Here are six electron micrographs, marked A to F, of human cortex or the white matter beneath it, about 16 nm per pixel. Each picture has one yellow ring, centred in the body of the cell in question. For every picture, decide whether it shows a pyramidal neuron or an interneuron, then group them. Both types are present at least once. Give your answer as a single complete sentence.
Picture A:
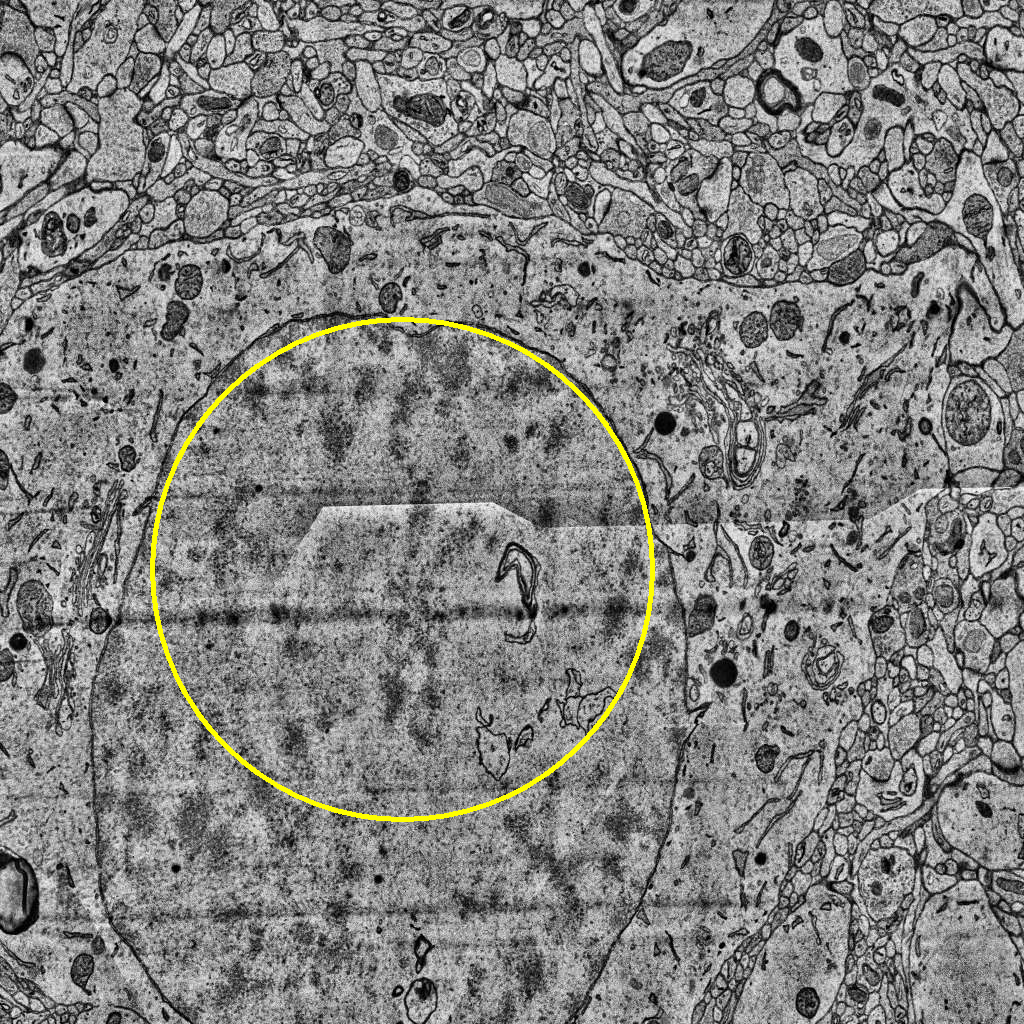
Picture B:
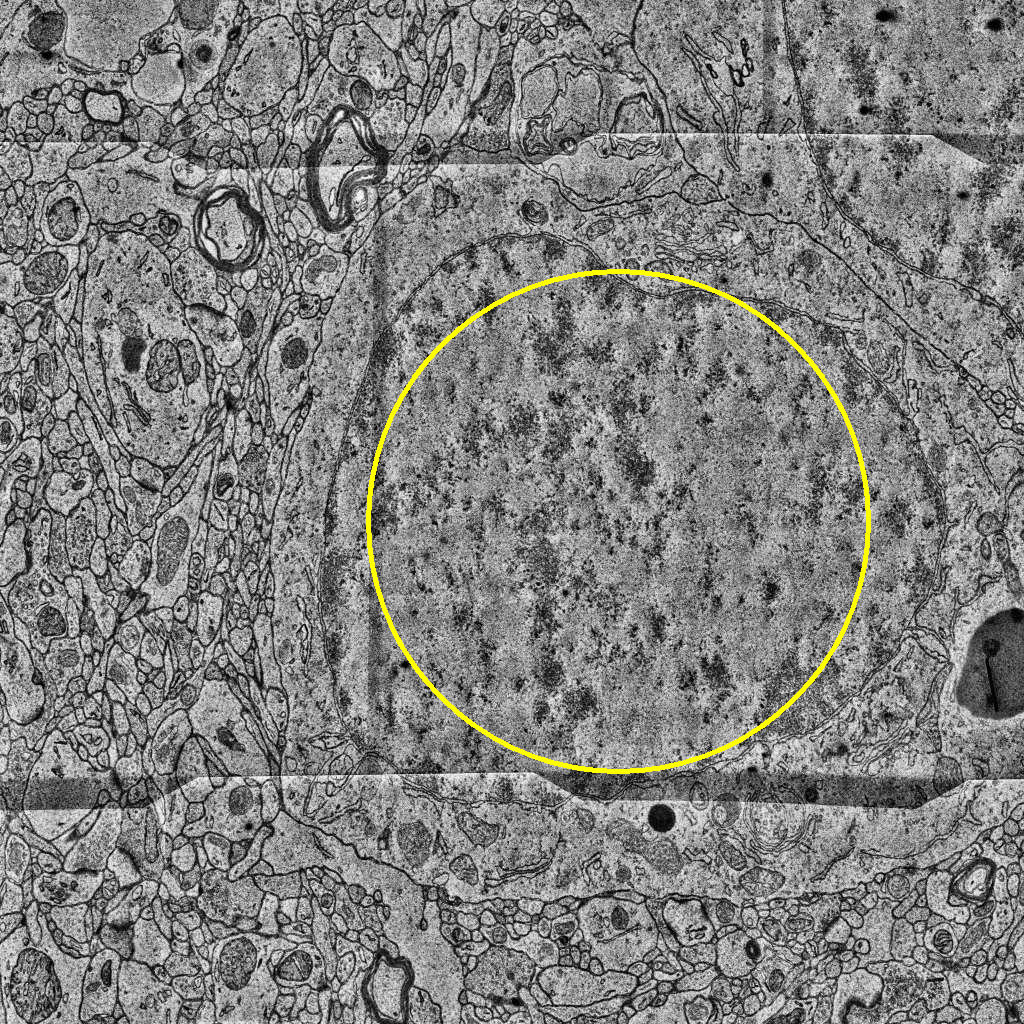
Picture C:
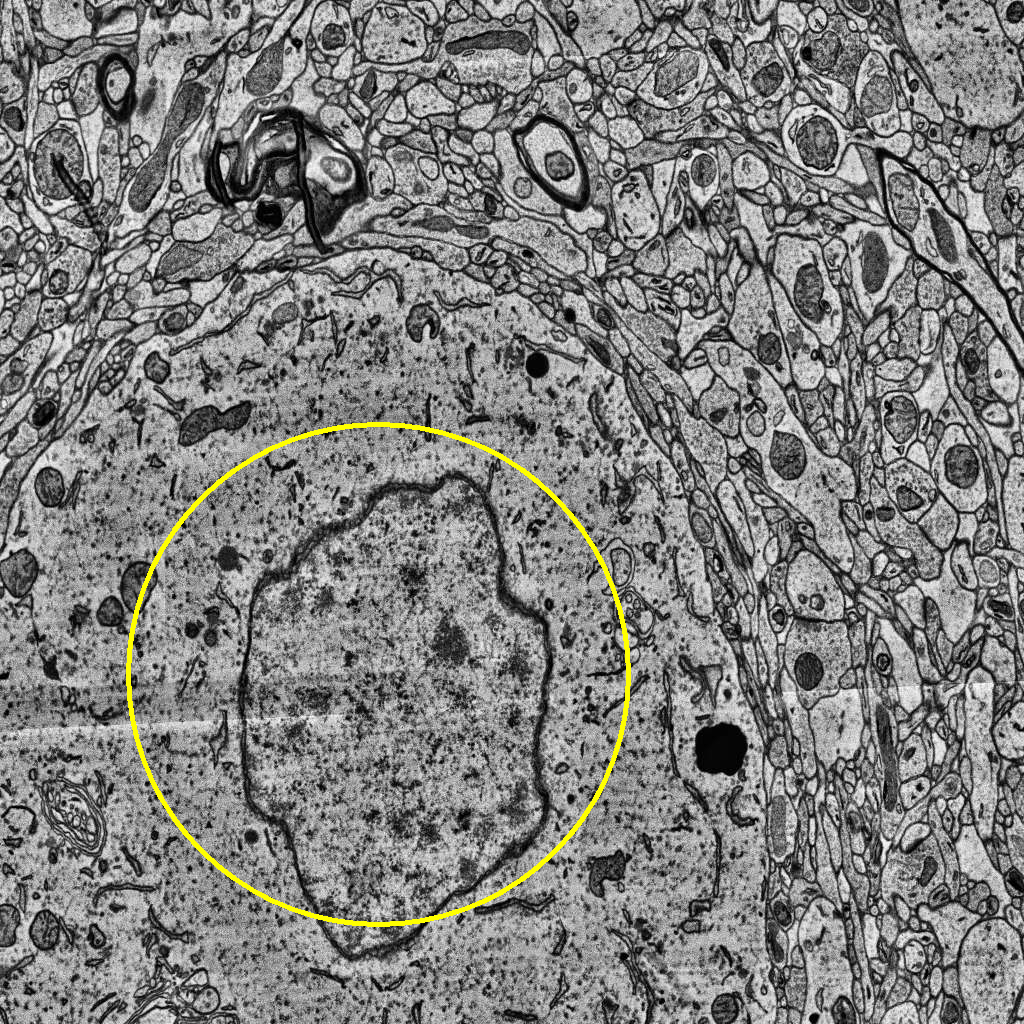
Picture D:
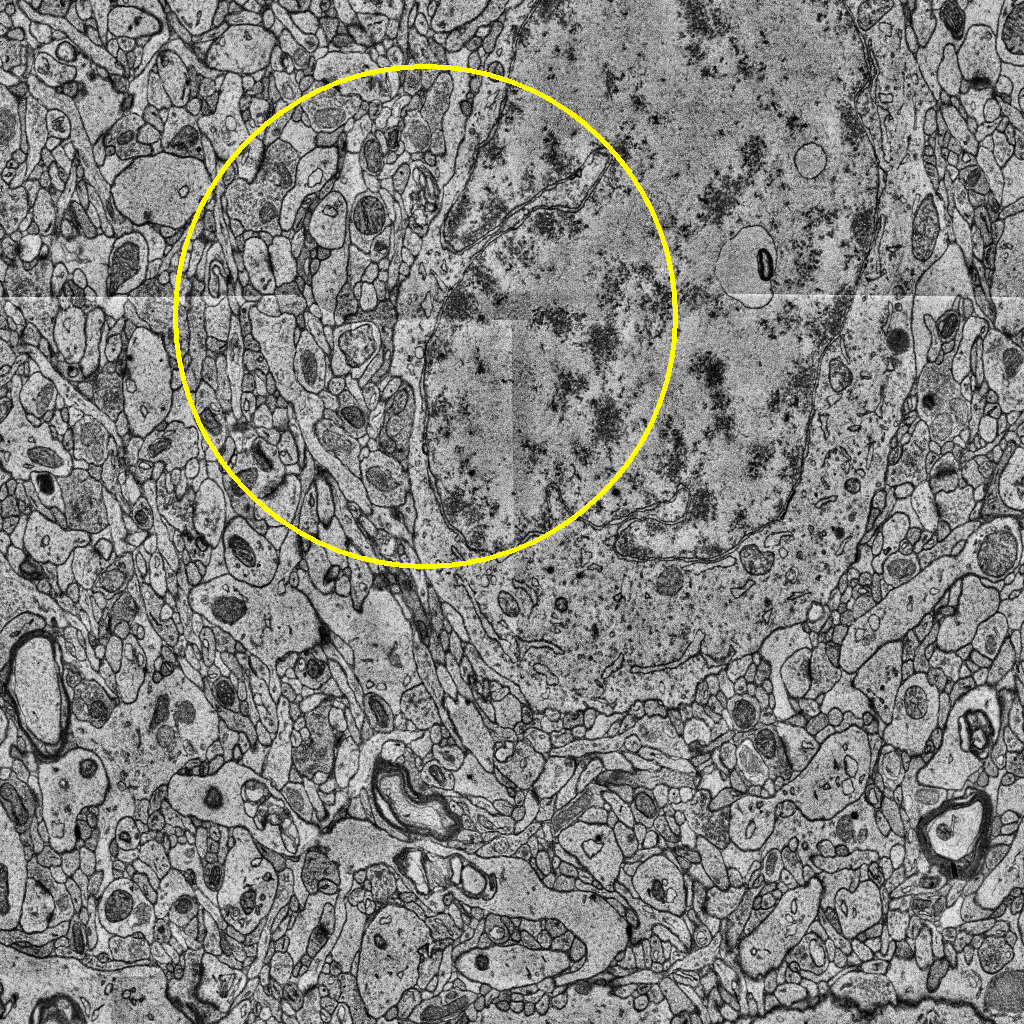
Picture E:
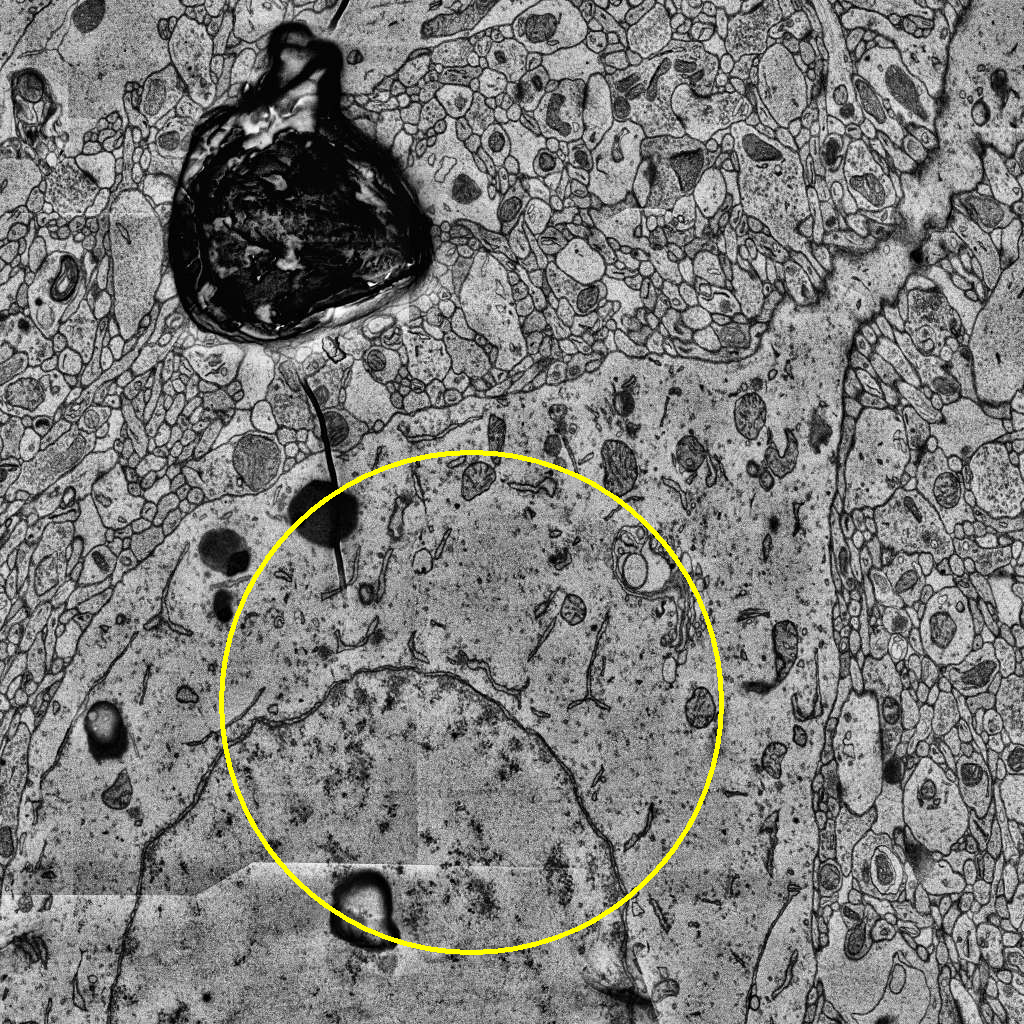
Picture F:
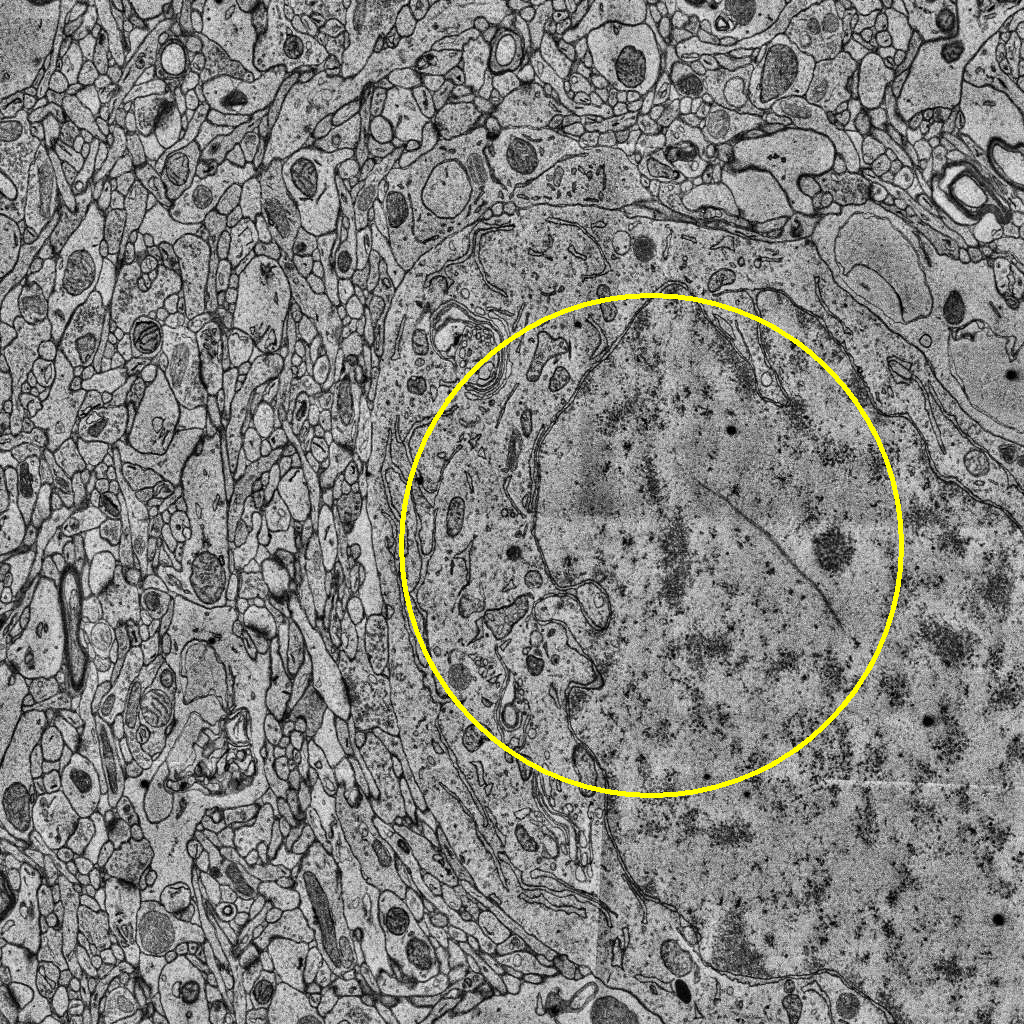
Pictures A, C and E show pyramidal neurons, while pictures B, D and F show interneurons.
